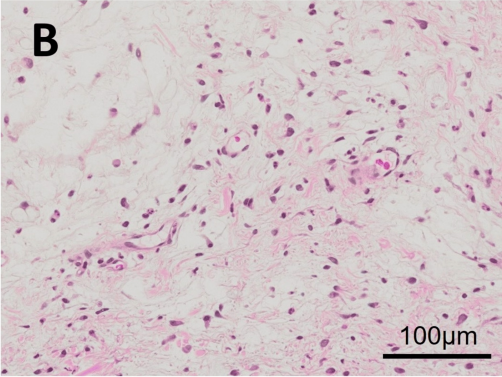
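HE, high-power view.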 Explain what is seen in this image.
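Loose myxoid connective tissue with scattered stellate and spindle-shaped fibroblasts. The cells are widely spaced, with small, dark purple, oval to elongated nuclei and scant pale pink cytoplasm drawn out into thin processes. They lie in an abundant pale, nearly clear background crossed by delicate wavy pink fibres. No marked nuclear enlargement or crowding is apparent.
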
